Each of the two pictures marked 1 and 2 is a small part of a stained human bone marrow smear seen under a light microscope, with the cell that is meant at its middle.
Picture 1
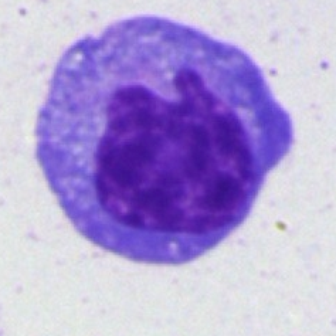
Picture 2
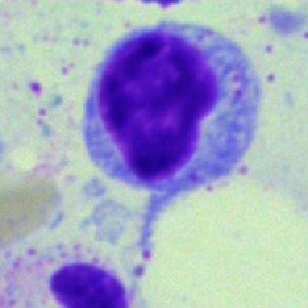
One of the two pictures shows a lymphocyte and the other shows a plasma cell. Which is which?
1: plasma cell
2: lymphocyte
